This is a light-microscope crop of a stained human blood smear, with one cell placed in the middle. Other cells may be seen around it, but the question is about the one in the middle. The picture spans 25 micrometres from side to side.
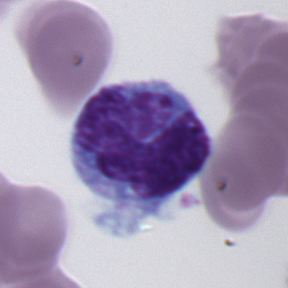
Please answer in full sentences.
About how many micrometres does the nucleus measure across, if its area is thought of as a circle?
The nucleus is about 10 micrometres across.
